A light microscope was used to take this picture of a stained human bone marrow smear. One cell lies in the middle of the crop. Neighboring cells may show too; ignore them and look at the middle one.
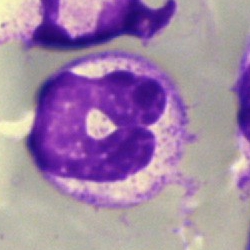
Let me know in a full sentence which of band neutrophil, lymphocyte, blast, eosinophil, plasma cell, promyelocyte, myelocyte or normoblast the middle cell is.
Where the crop is centred, there is a band neutrophil.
